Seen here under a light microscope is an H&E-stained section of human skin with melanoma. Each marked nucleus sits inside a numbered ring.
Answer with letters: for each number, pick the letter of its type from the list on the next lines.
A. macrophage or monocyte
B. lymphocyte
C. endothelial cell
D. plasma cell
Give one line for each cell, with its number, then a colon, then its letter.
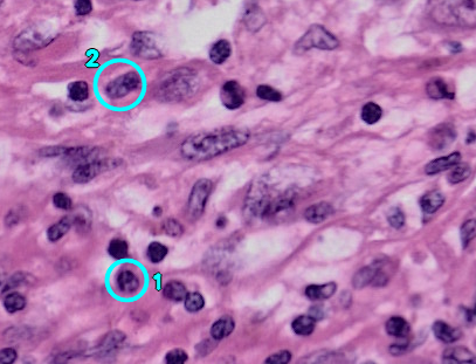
1: D
2: B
